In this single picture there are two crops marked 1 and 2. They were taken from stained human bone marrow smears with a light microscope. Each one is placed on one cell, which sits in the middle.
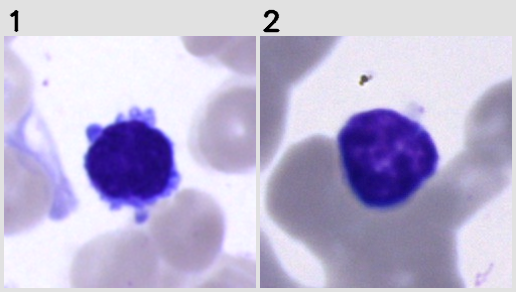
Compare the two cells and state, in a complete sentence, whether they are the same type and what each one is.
Yes, the two crops show lymphocytes at their centres.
